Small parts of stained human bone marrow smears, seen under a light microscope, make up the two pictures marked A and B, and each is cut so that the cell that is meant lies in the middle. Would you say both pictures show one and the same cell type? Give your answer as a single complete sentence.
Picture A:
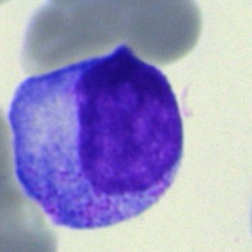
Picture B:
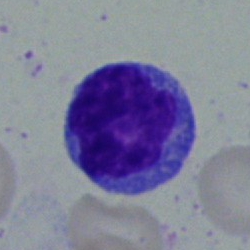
No, the types are not the same, since picture A shows a promyelocyte and picture B a blast.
